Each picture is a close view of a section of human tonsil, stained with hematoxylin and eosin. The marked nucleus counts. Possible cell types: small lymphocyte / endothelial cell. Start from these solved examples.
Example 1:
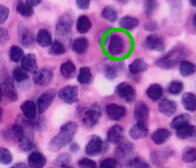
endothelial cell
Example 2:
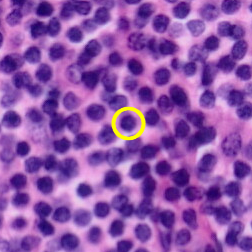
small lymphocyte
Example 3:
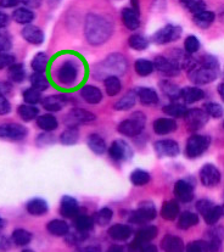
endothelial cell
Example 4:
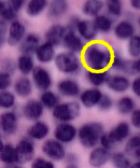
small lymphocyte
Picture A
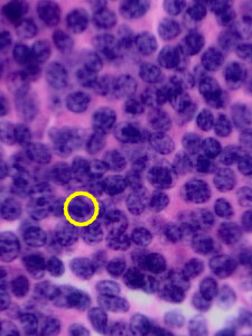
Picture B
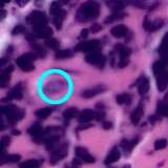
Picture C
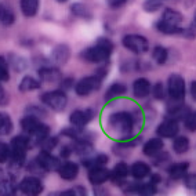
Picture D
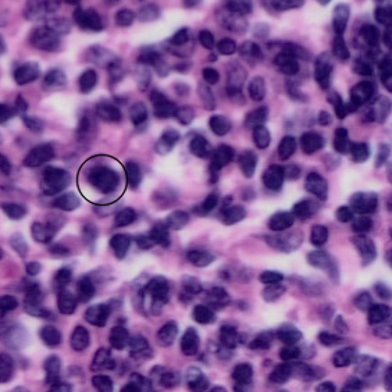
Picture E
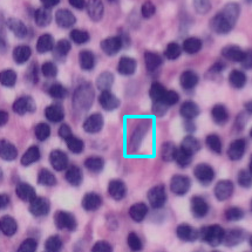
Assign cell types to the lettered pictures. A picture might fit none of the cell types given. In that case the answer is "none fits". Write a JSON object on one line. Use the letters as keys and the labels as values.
{"A": "small lymphocyte", "B": "endothelial cell", "C": "small lymphocyte", "D": "none fits", "E": "endothelial cell"}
